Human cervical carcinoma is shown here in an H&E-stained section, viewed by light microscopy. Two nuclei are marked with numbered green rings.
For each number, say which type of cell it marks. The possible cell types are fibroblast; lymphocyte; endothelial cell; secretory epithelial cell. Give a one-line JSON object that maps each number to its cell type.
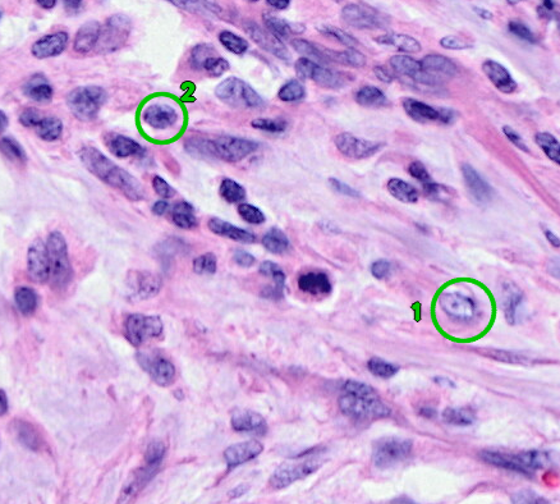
{"1": "endothelial cell", "2": "lymphocyte"}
